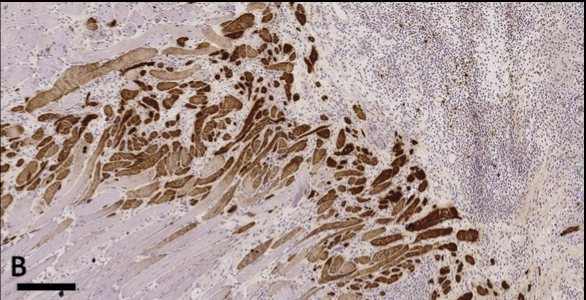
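The brown fibers vary widely in size and shape, from small round profiles to long elongated fibers, and are packed closely together in a band. To the left and below lie pale, unstained striated muscle fibers, and to the right a dense region crowded with small blue nuclei. Between the fibers is loose connective tissue with scattered blue nuclei.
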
